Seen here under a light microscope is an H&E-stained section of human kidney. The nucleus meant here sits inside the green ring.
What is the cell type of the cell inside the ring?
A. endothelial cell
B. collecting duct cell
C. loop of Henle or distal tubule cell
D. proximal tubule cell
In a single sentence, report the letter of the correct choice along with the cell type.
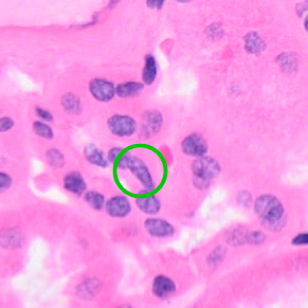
Option B is the correct one, since the cell inside the ring is a collecting duct cell.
